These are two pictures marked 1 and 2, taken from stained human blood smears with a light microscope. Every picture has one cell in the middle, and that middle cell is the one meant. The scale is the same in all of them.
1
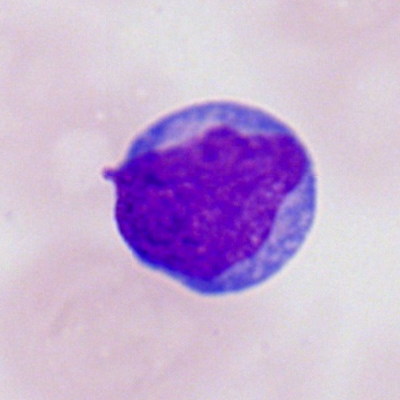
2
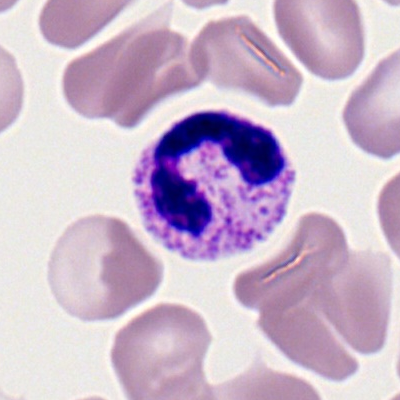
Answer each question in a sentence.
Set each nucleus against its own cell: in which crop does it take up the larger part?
Of the two, the nucleus in crop 1 makes up the greater part of its cell.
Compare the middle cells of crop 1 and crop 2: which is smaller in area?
The cell in crop 2 is smaller; the one in crop 1 has about 1.5 times its area.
